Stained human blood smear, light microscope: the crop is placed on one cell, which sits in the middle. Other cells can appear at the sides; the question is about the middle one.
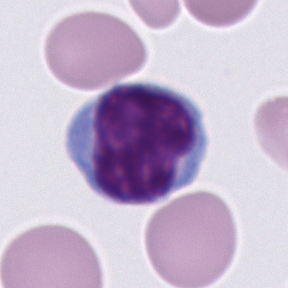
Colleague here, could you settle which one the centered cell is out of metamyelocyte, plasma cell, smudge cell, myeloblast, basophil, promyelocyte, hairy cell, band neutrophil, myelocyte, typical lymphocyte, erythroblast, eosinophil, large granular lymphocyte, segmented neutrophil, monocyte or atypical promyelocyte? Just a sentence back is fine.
Classified as a typical lymphocyte is the cell in the middle of this crop.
